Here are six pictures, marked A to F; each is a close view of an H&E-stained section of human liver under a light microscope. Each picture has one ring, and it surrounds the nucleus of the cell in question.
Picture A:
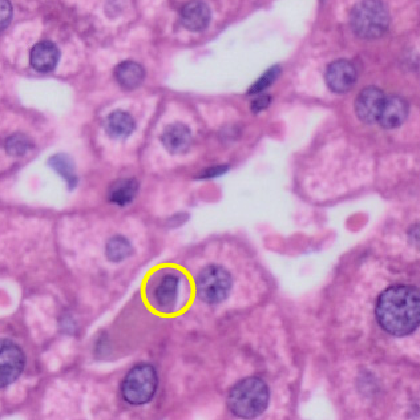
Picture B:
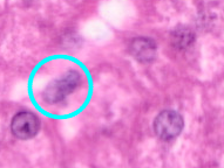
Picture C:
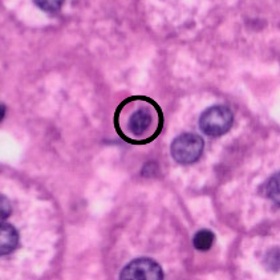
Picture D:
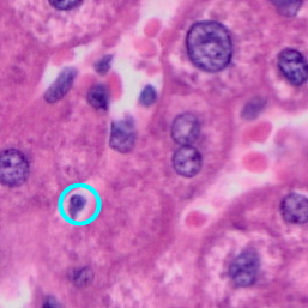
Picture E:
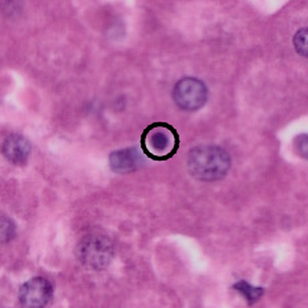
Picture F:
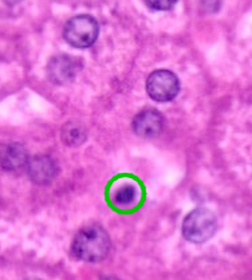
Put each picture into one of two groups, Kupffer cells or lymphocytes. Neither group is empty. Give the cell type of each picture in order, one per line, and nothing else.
Kupffer cell
Kupffer cell
lymphocyte
lymphocyte
lymphocyte
lymphocyte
